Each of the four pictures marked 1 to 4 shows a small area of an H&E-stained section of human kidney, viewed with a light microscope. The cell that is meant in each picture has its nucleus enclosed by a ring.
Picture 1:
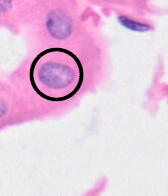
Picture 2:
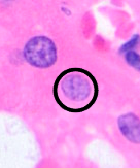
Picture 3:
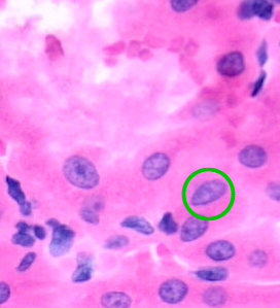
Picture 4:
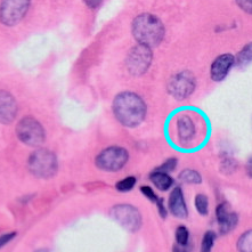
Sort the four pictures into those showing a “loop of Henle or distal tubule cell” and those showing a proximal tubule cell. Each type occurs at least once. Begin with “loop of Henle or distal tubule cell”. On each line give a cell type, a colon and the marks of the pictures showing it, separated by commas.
loop of Henle or distal tubule cell: 4
proximal tubule cell: 1, 2, 3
